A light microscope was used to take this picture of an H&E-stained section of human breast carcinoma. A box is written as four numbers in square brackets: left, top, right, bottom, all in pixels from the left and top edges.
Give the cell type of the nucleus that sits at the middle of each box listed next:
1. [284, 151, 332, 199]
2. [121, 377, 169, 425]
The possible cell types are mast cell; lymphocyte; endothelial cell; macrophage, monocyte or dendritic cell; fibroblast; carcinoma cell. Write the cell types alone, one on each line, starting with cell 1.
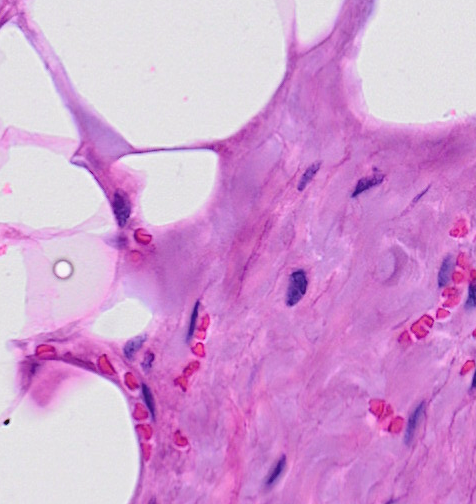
fibroblast
endothelial cell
